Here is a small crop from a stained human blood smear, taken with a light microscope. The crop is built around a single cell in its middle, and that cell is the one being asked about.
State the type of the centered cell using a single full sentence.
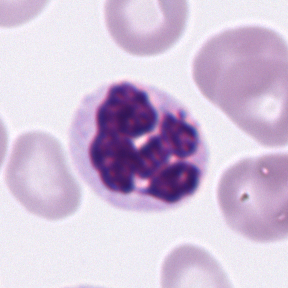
At the middle of the frame sits a segmented neutrophil.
